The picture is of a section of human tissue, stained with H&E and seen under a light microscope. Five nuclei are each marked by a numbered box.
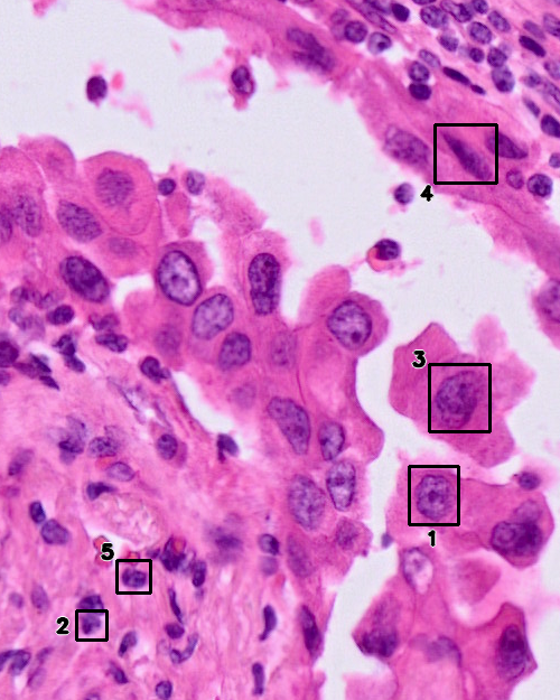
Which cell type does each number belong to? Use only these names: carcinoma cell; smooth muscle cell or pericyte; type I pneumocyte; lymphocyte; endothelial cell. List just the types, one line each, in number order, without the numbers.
carcinoma cell
lymphocyte
carcinoma cell
carcinoma cell
lymphocyte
